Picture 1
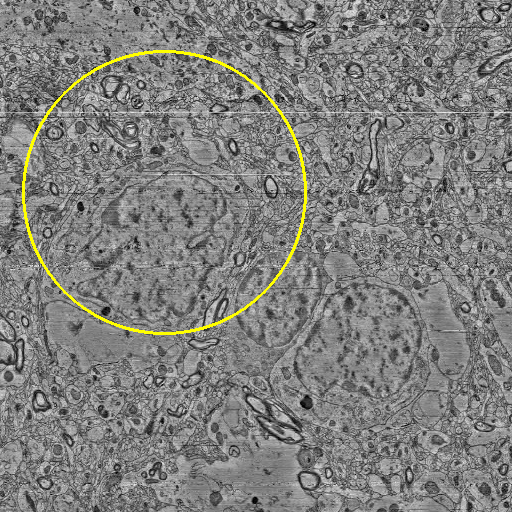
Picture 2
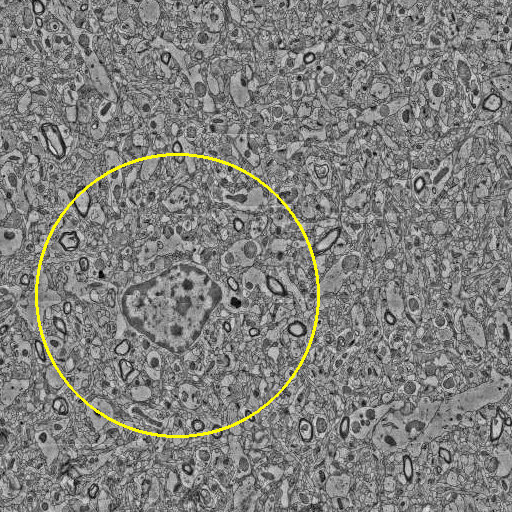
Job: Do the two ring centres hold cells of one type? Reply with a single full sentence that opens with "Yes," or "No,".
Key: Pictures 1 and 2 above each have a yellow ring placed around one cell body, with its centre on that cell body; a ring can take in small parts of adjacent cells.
No, the cells at the two ring centres are of two separate types.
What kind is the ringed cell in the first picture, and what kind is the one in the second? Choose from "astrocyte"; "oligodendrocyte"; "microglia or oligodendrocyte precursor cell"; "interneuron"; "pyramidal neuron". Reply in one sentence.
The first cell is an interneuron; the second is a microglial cell or oligodendrocyte precursor cell.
